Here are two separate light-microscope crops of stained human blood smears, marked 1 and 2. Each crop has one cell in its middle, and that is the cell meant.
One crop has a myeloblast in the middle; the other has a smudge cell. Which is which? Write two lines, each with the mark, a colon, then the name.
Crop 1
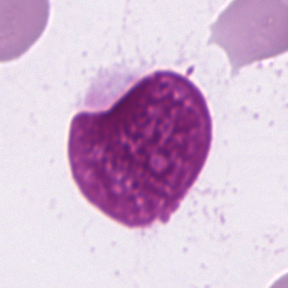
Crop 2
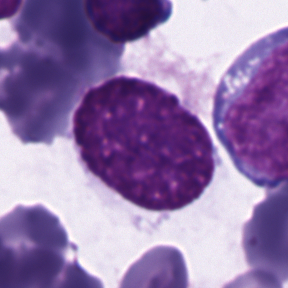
1: smudge cell
2: myeloblast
